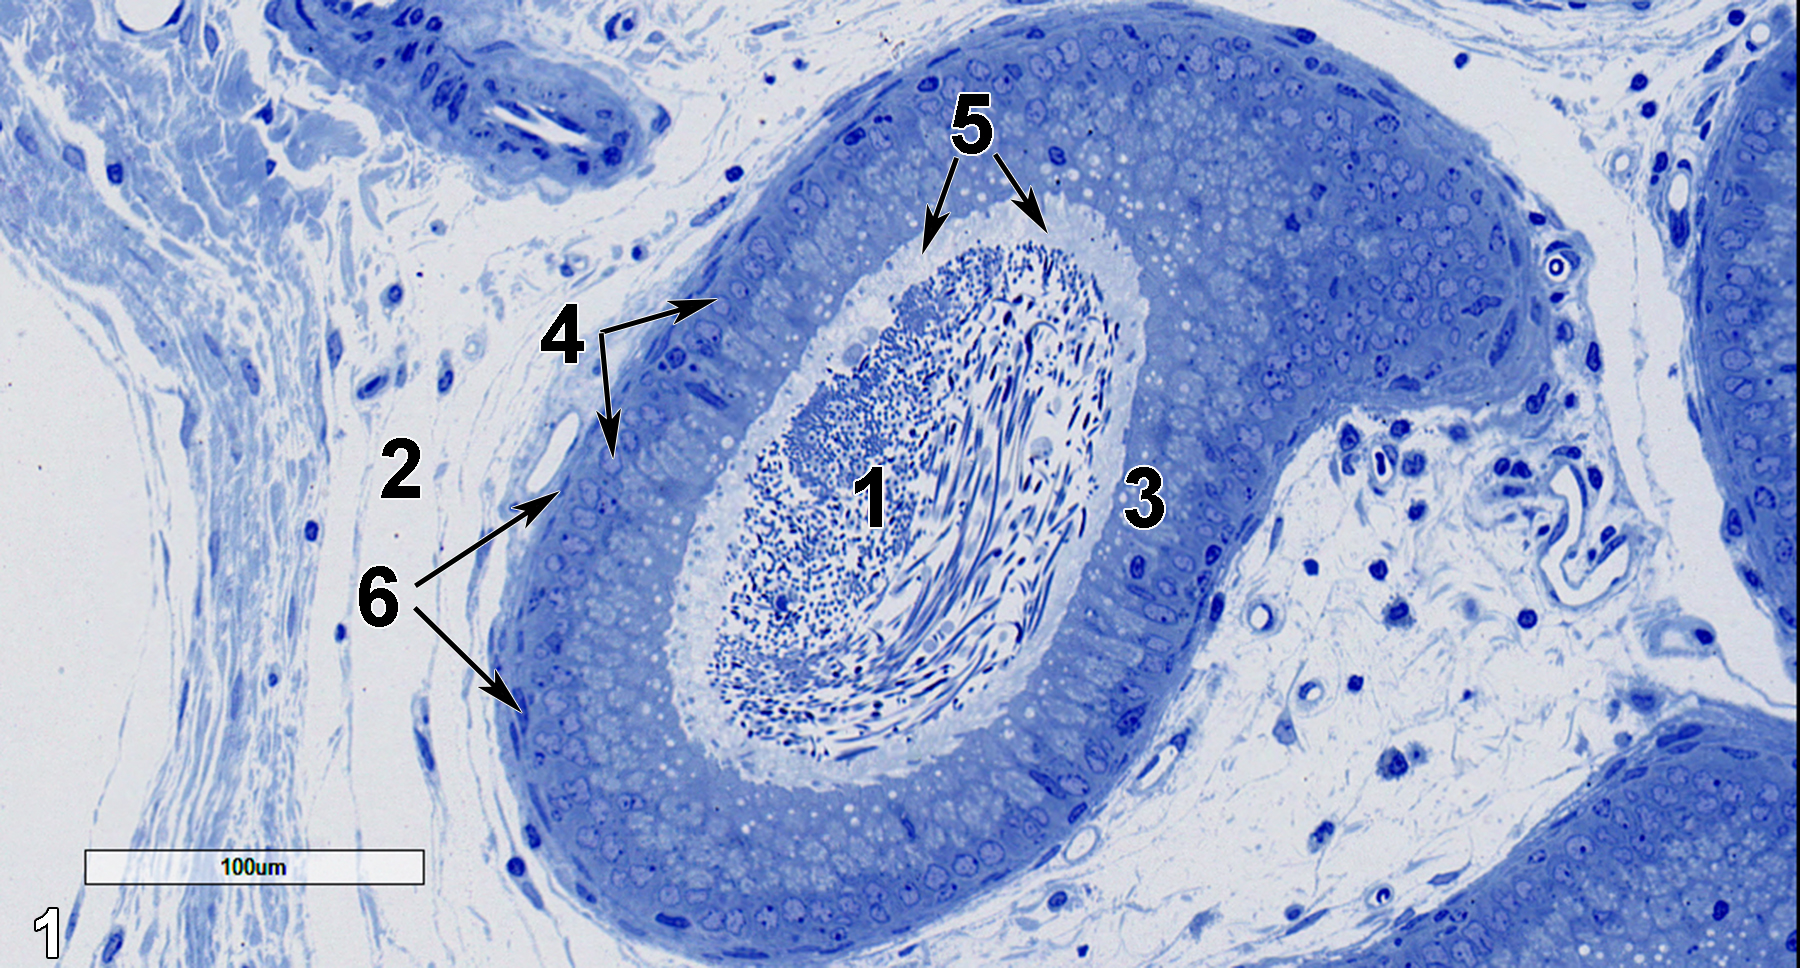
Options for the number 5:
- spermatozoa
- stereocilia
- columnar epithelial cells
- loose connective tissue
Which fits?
stereocilia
